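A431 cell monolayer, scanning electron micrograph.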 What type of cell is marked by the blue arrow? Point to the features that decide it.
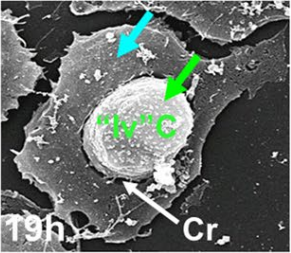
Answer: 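The marked cell is flat and widely spread. A rounded cell sits on top of it. The answer: substrate-attached cells.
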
